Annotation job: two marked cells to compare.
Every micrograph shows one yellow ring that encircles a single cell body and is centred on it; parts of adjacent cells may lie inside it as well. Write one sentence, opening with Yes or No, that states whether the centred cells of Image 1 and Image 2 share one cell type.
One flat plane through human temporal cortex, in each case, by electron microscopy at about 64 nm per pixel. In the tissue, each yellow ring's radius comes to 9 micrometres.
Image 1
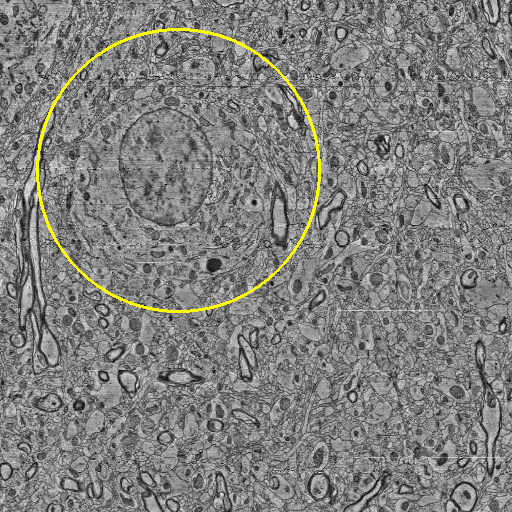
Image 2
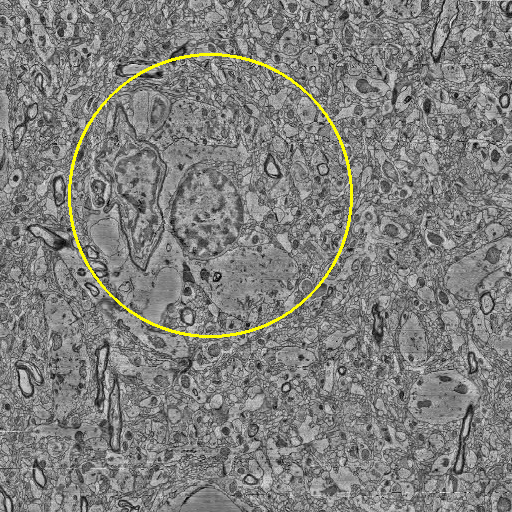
No, the cell centred in Image 1 and the cell centred in Image 2 are of two types.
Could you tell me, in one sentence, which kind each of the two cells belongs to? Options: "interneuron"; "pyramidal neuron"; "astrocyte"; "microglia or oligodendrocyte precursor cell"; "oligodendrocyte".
At the centre of the first ring sits an interneuron, and at the centre of the second sits an oligodendrocyte.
